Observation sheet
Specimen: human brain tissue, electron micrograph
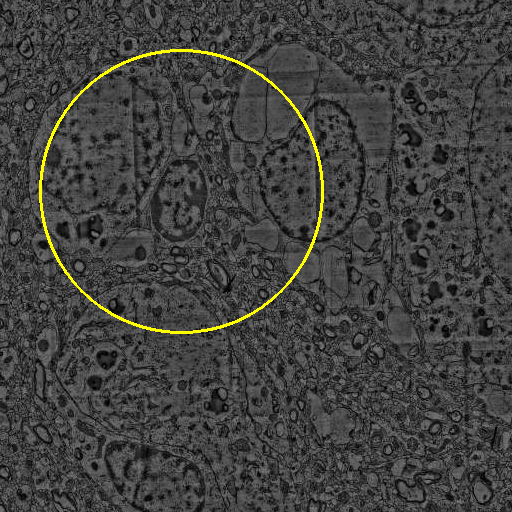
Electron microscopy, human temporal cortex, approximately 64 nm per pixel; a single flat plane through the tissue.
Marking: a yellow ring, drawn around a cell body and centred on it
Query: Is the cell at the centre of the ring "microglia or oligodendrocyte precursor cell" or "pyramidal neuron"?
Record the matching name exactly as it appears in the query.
microglia or oligodendrocyte precursor cell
